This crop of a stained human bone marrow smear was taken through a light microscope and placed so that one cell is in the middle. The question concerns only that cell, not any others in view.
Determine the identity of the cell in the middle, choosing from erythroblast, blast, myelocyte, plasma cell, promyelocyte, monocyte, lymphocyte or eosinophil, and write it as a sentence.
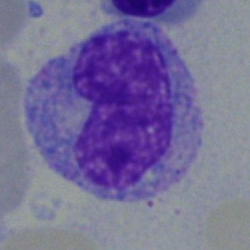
Centrally within this crop lies a monocyte.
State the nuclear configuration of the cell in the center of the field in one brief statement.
Worth pointing out that its nucleus is one compact mass, round, oval or reniform.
